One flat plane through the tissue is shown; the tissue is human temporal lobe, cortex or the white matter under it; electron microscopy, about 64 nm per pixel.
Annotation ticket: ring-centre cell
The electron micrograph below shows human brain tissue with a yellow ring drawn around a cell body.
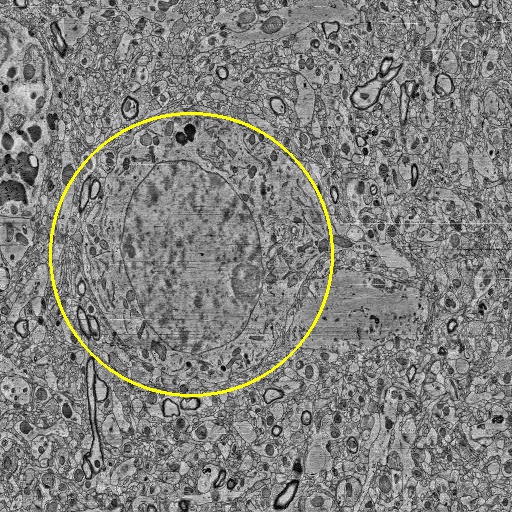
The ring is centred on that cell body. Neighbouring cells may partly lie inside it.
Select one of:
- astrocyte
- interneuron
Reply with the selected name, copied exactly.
interneuron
